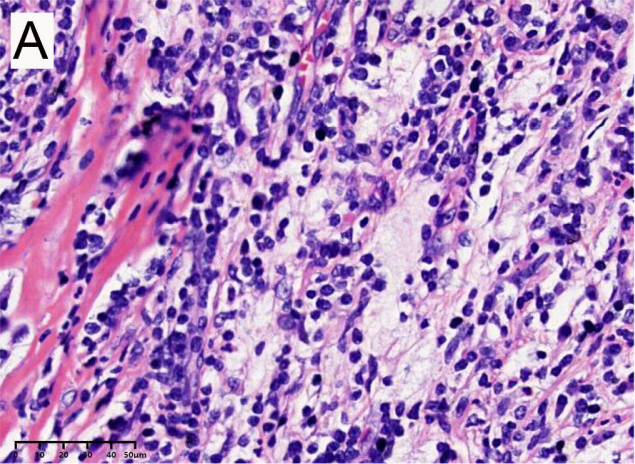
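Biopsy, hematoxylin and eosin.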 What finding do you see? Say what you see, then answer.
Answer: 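Polymorphous lymphohistiocytic infiltrate. Large cells with abundant pale cytoplasm lie loosely together. Many small round dark nuclei are mixed among them.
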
